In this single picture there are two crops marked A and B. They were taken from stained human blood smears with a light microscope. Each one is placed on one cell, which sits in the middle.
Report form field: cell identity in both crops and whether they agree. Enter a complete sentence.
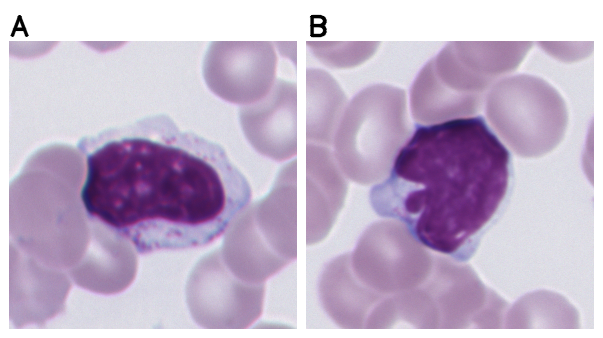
Yes, both crops show large granular lymphocytes, the one and the other.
